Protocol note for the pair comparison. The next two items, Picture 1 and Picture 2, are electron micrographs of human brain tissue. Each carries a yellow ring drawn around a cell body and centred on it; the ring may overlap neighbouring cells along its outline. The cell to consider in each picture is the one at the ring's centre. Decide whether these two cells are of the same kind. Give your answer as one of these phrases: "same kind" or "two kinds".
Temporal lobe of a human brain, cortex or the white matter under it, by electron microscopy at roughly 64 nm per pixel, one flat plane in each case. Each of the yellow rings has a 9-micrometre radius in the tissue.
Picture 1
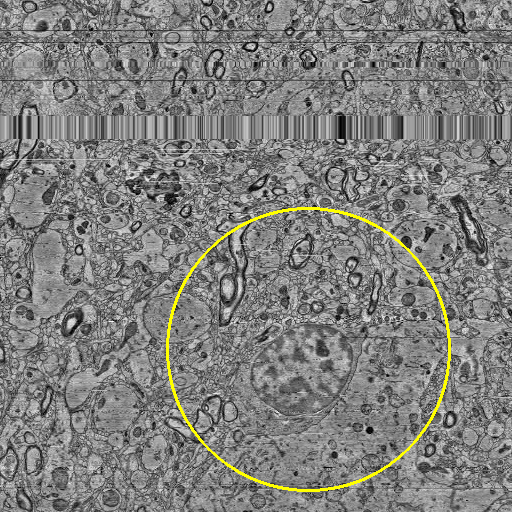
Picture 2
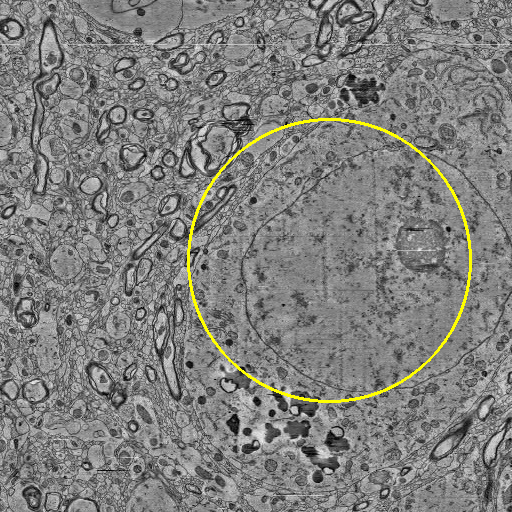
two kinds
